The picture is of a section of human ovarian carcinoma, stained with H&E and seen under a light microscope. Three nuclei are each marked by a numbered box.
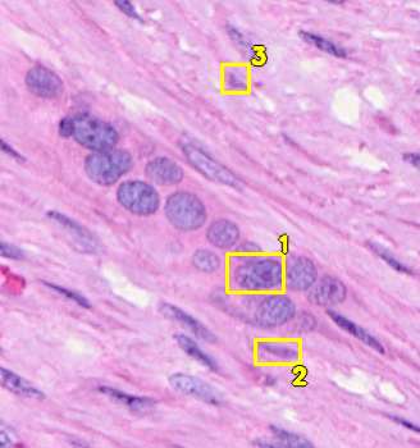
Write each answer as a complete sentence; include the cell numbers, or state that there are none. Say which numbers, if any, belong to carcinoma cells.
Cell 1 is a carcinoma cell, and it is the only numbered cell that is.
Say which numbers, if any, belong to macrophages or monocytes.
No numbered nucleus belongs to one of the macrophages or monocytes.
